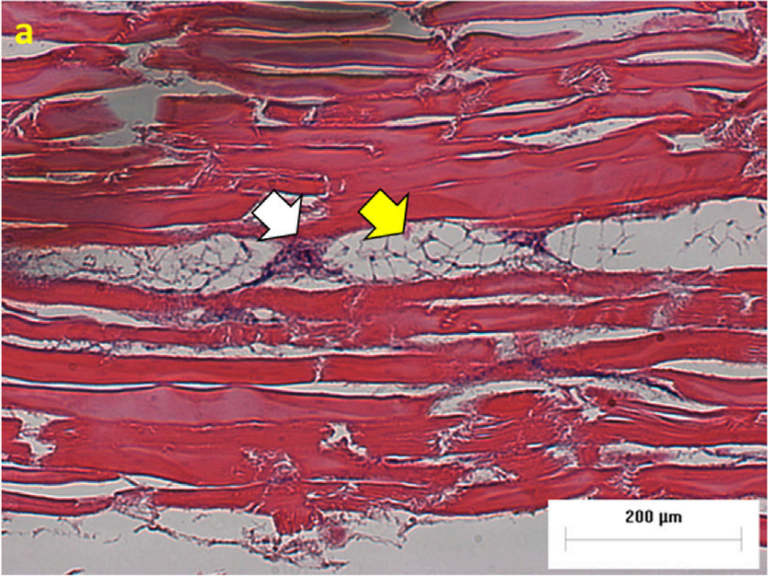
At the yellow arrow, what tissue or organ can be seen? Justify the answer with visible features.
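The arrow points at a band of clear, empty polygonal spaces. The spaces are separated by thin, faintly stained septa in a honeycomb pattern. The band lies between long pink-staining fibers. The answer: adipose tissue.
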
